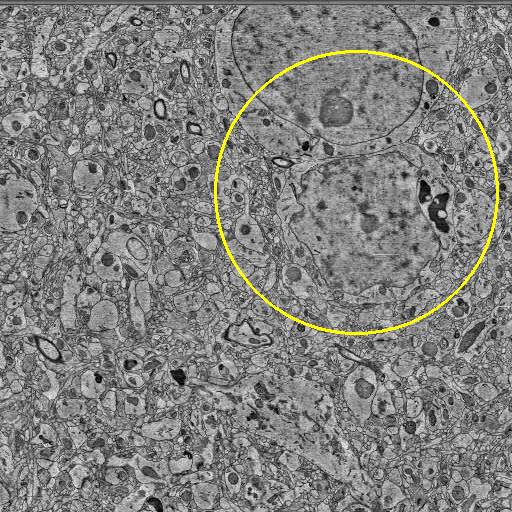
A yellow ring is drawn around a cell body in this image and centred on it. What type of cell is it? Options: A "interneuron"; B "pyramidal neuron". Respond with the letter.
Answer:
A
